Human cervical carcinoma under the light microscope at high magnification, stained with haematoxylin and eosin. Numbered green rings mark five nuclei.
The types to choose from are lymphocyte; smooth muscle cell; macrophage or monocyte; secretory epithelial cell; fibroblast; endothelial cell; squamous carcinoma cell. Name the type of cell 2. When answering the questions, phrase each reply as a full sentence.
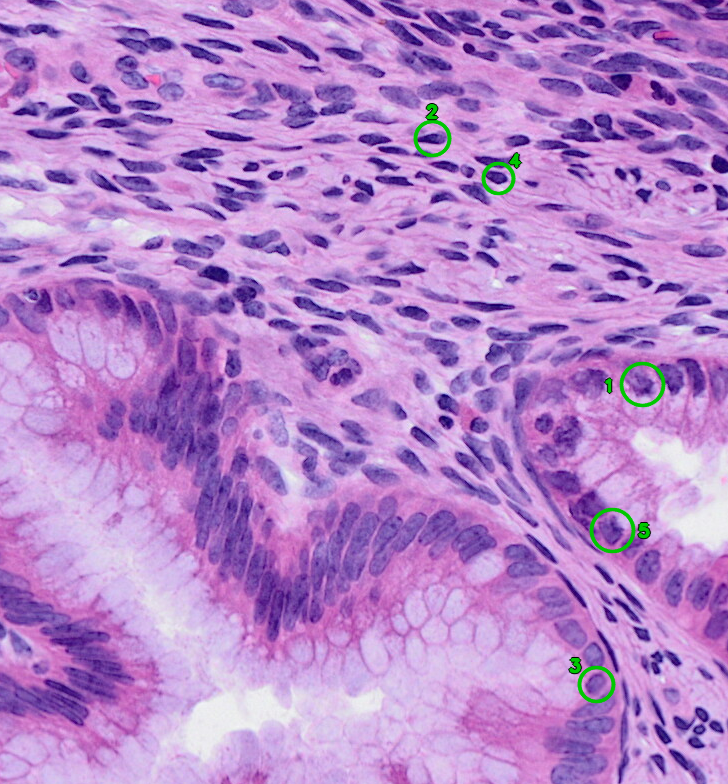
In this section, number 2 marks a fibroblast.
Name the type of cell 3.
The one labeled 3 is a secretory epithelial cell, to put it simply.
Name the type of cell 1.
The cell indicated by marker 1 is a secretory epithelial cell in this section.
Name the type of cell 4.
In this section, the cell numbered 4 is a fibroblast.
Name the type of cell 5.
In the tissue shown, cell 5 is a secretory epithelial cell.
